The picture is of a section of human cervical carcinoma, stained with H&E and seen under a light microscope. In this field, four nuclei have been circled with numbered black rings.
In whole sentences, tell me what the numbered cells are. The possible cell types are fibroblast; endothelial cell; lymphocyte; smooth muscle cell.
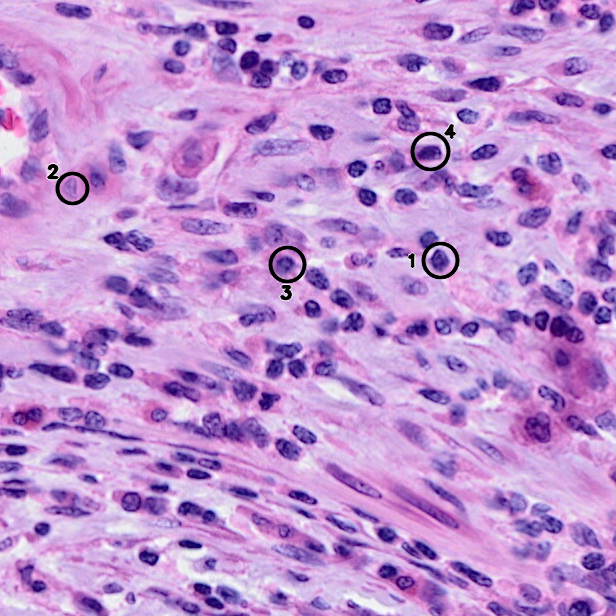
Cell 1 is a lymphocyte, cell 2 is a smooth muscle cell, cell 3 is a lymphocyte and cell 4 is a lymphocyte.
